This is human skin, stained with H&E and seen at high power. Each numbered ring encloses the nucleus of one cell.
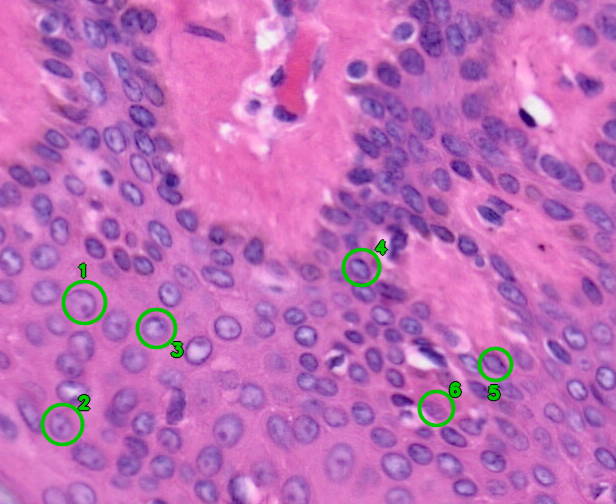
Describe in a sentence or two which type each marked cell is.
Cells 1, 2 and 3 are suprabasal keratinocytes. Cells 4, 5 and 6 are basal keratinocytes.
